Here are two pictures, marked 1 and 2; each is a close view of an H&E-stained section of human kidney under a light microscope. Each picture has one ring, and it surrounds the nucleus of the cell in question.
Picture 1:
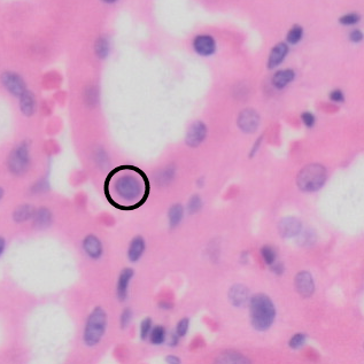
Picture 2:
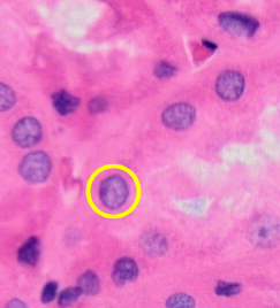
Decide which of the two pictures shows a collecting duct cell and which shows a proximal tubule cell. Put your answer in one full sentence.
In picture 1 the cell is a collecting duct cell; in picture 2, a proximal tubule cell.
